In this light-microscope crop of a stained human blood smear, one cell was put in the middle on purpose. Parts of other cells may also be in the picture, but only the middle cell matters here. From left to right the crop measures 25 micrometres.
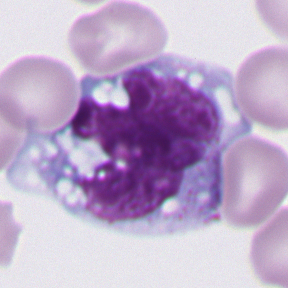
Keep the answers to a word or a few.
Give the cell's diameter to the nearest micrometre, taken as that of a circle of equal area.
15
